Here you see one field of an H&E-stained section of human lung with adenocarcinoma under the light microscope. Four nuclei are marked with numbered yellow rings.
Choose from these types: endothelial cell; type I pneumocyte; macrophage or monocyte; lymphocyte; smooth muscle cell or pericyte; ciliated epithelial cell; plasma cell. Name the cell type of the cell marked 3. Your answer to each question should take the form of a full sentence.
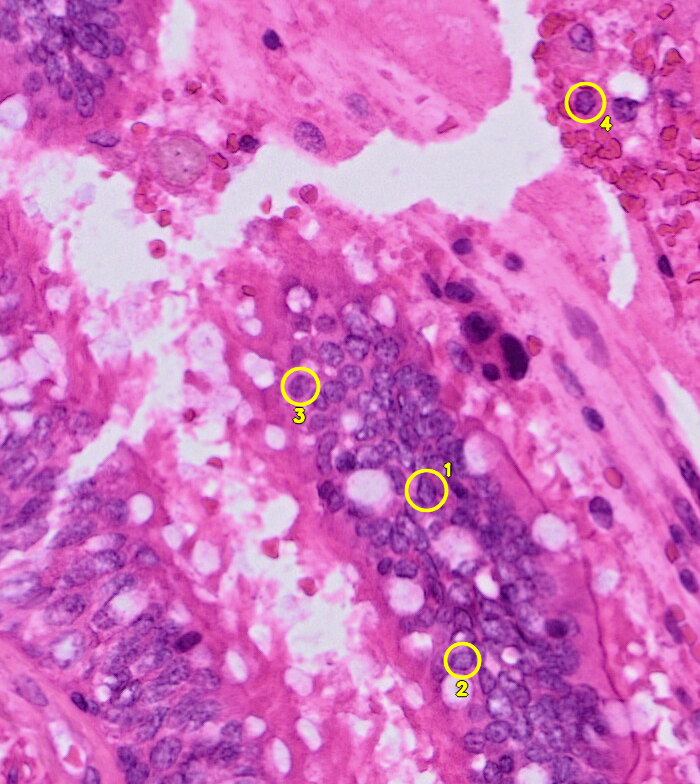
The cell whose nucleus carries the number 3 is a ciliated epithelial cell.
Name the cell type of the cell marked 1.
Cell 1 is classified as a ciliated epithelial cell.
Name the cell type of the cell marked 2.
The cell referenced by the number 2 is a ciliated epithelial cell in this field.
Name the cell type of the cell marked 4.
The marked cell with the number 4 is recognised as a macrophage or monocyte.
